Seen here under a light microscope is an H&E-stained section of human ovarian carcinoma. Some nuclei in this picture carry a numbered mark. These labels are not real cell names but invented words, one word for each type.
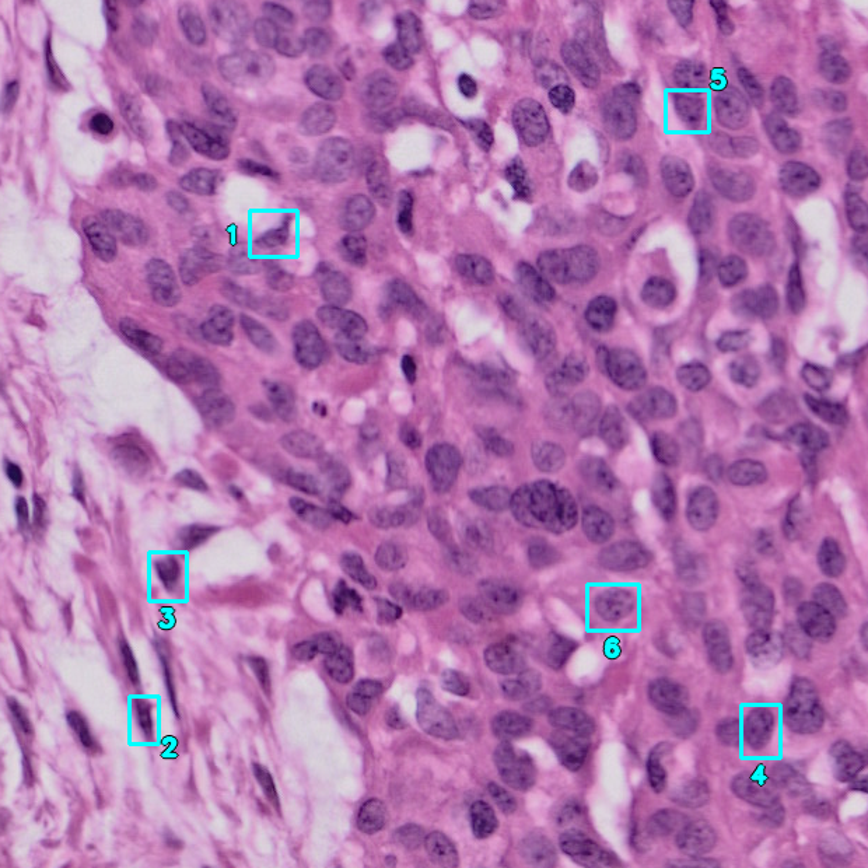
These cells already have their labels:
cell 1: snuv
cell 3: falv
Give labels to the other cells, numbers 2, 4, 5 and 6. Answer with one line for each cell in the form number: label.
2: falv
4: snuv
5: snuv
6: snuv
